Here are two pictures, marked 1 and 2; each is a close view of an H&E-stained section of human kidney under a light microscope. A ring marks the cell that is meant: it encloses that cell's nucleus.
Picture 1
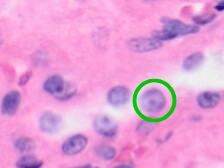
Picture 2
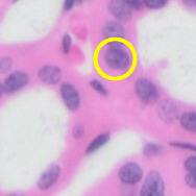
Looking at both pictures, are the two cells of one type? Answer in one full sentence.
No, the types are not the same, since picture 1 shows a “loop of Henle or distal tubule cell” and picture 2 a collecting duct cell.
